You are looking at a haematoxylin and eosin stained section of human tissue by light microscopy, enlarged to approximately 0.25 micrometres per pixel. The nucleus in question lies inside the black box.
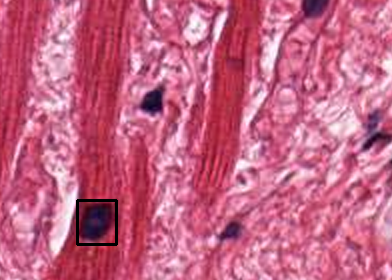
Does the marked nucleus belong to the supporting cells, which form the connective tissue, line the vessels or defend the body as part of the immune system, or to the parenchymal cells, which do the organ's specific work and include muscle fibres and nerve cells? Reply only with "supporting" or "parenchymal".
parenchymal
